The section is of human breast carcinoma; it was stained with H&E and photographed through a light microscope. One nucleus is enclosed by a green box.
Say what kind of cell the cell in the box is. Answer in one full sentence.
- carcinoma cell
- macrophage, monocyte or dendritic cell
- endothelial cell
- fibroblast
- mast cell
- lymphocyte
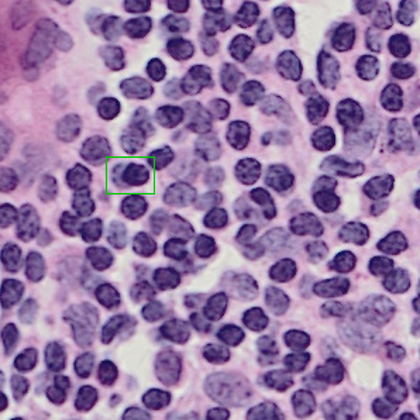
In this section, the cell in the box is a lymphocyte.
